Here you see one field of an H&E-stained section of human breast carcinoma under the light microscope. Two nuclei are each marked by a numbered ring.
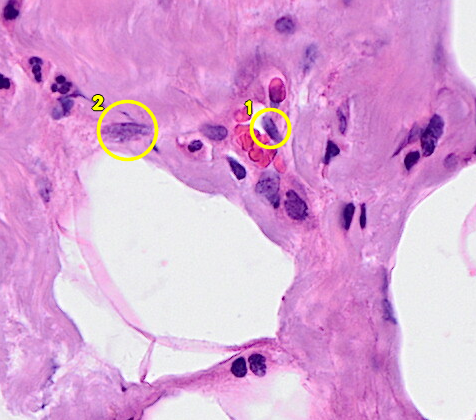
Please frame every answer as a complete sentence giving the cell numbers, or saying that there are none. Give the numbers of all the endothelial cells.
Cell 1 stands alone among the numbered cells as an endothelial cell.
